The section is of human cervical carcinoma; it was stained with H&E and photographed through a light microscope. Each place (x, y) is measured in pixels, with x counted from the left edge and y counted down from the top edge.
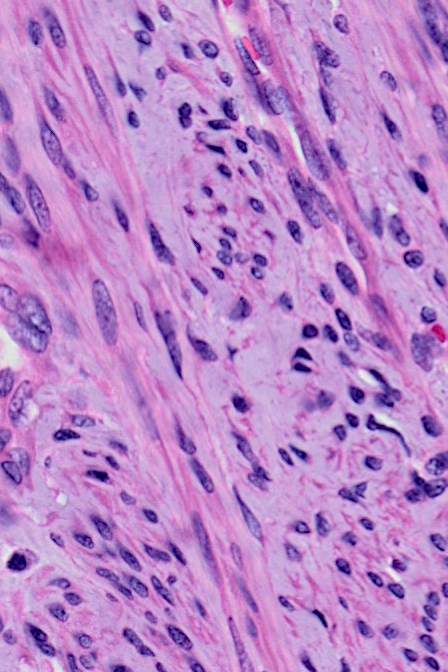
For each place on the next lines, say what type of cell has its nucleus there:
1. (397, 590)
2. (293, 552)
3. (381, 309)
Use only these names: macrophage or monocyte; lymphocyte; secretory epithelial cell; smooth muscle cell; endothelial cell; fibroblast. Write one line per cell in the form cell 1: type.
cell 1: smooth muscle cell
cell 2: smooth muscle cell
cell 3: endothelial cell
